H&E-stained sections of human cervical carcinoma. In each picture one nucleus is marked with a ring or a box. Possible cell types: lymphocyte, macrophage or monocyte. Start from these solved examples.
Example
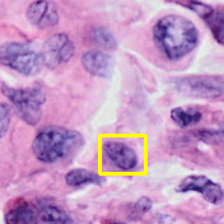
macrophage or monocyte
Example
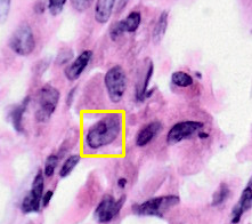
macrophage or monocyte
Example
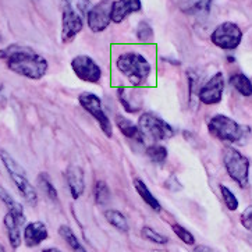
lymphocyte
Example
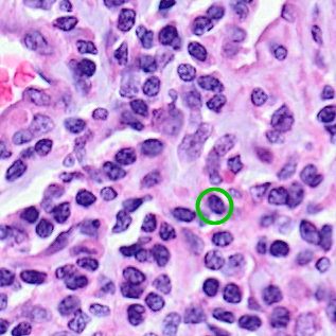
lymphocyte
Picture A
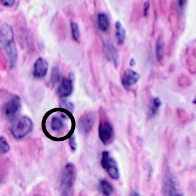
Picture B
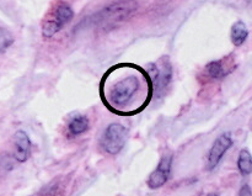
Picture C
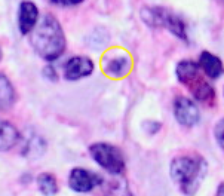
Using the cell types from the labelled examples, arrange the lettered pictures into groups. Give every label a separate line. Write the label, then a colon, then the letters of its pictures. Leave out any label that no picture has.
lymphocyte: A, C
macrophage or monocyte: B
